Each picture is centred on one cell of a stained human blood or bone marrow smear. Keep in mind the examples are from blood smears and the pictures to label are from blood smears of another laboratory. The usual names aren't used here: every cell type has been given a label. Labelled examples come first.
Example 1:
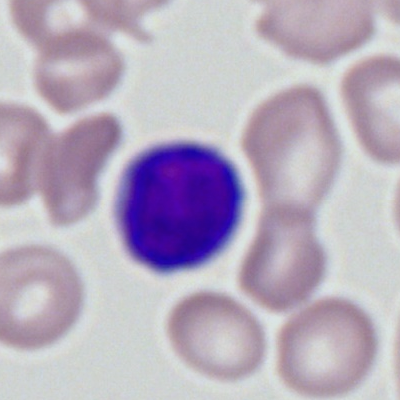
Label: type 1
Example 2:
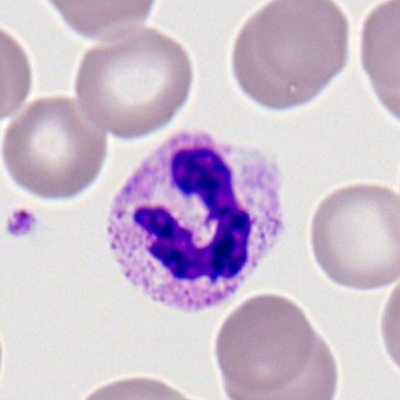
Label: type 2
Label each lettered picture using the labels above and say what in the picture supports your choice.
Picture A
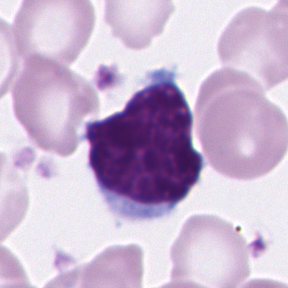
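type 1. Evidence: The scant cytoplasm lies mostly as a crescent along the lower edge of the cell.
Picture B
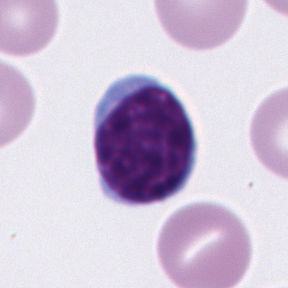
type 1. Evidence: The cytoplasm is scant and is widest as a crescent at the upper left.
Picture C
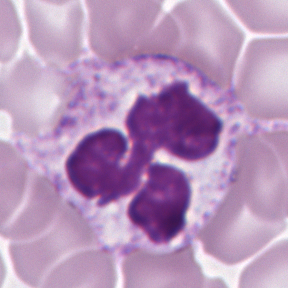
type 2. Evidence: The nucleus is divided into three lobes.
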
